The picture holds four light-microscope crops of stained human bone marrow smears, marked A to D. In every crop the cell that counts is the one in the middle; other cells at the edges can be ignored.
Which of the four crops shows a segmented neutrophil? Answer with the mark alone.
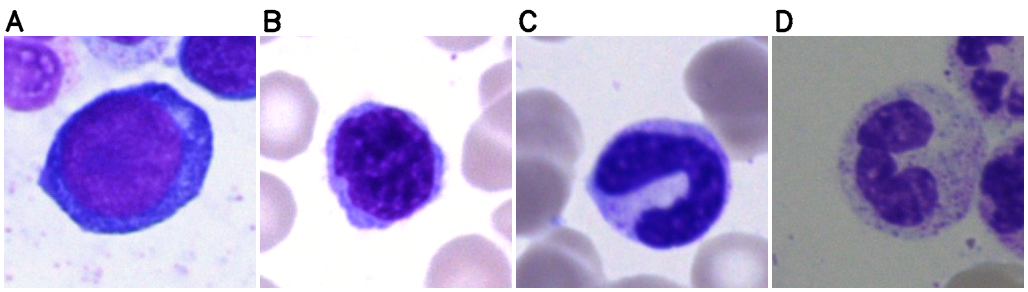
D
